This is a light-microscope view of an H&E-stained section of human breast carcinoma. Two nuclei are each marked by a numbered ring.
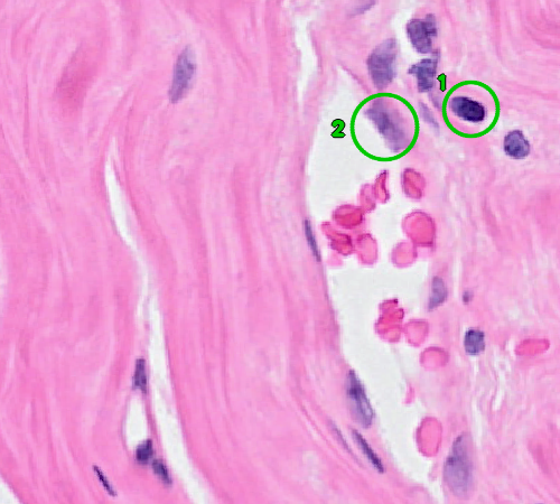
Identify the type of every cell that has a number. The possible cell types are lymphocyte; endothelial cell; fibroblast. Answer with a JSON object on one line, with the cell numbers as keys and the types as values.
{"1": "lymphocyte", "2": "endothelial cell"}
